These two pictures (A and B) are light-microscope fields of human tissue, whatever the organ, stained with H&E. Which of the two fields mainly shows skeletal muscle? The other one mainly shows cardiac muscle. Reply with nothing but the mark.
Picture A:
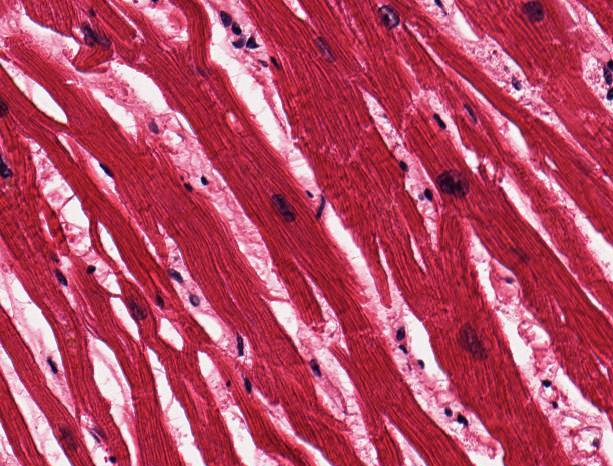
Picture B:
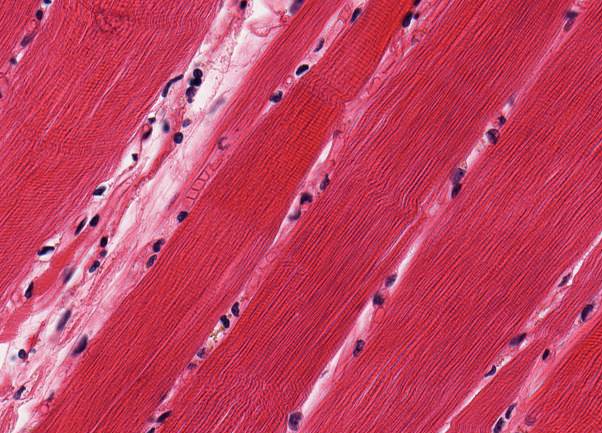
B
